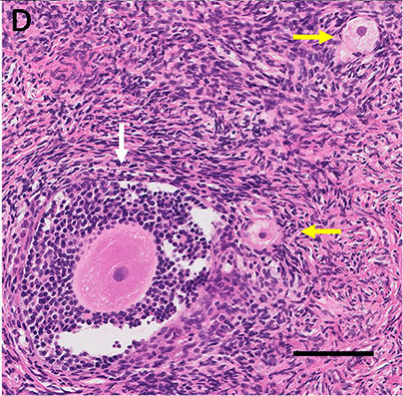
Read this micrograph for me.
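Ovarian cortex with developing follicles set in dense stroma. The stroma consists of closely packed spindle cells with elongated dark nuclei in swirling bundles. In the lower left a large follicle holds a big round oocyte with homogeneous pink cytoplasm and a small dark nucleus; it is surrounded by many layers of small round dark-staining granulosa cells, with irregular clear spaces among them and a rim of flattened stromal cells outside. To the right and upper right lie two much smaller follicles, each a small oocyte with pale pink cytoplasm and a dark nucleus enclosed by a thin single ring of flattened cells.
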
